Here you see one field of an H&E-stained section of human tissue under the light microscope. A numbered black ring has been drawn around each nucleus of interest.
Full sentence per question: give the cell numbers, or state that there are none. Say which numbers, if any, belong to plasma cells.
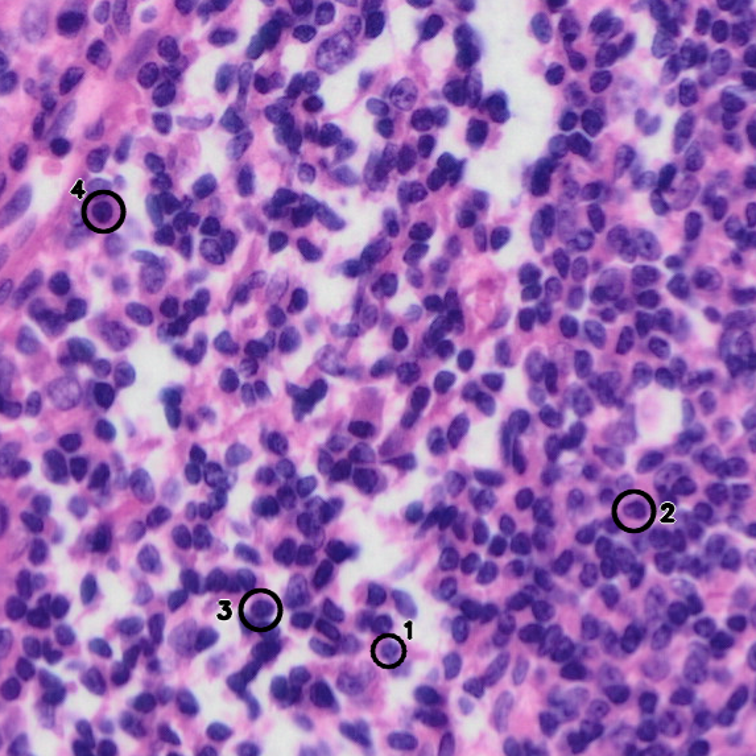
Among the labelled cells, only the cell labelled 4 is a plasma cell.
